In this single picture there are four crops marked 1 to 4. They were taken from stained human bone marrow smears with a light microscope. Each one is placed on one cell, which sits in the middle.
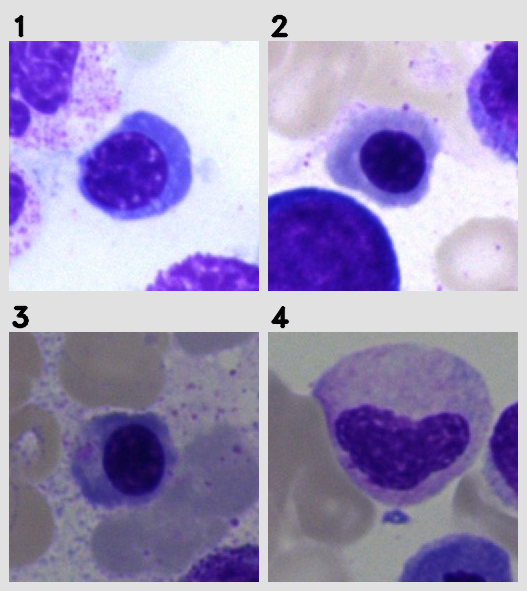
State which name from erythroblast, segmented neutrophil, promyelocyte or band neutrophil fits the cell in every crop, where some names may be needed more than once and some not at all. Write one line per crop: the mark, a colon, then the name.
1: erythroblast
2: erythroblast
3: erythroblast
4: band neutrophil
